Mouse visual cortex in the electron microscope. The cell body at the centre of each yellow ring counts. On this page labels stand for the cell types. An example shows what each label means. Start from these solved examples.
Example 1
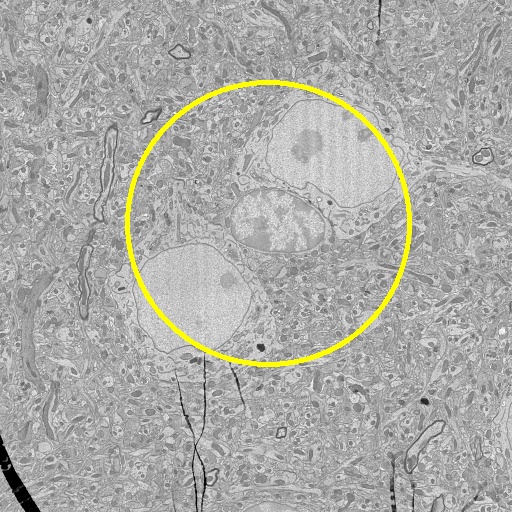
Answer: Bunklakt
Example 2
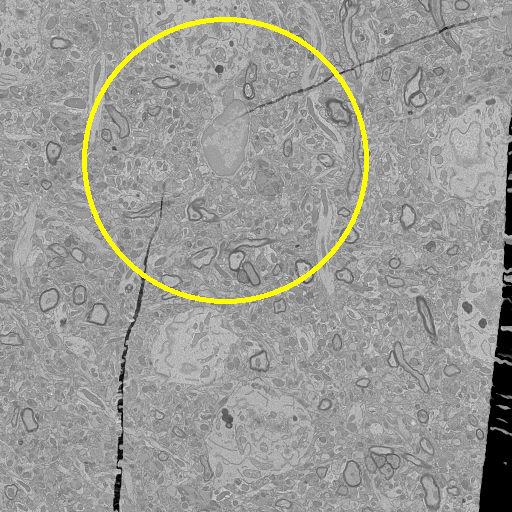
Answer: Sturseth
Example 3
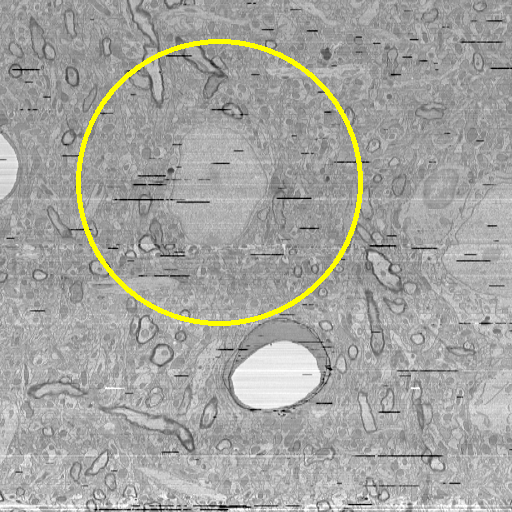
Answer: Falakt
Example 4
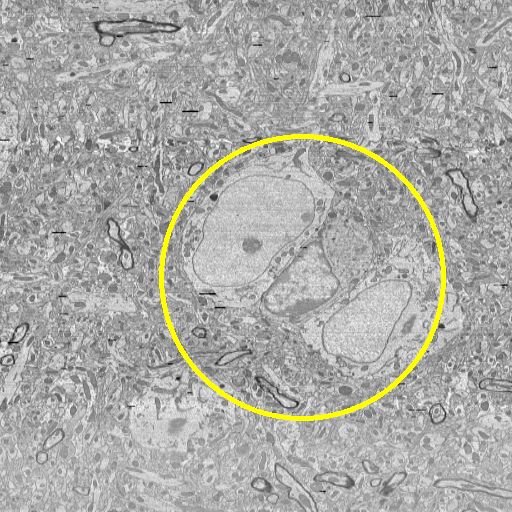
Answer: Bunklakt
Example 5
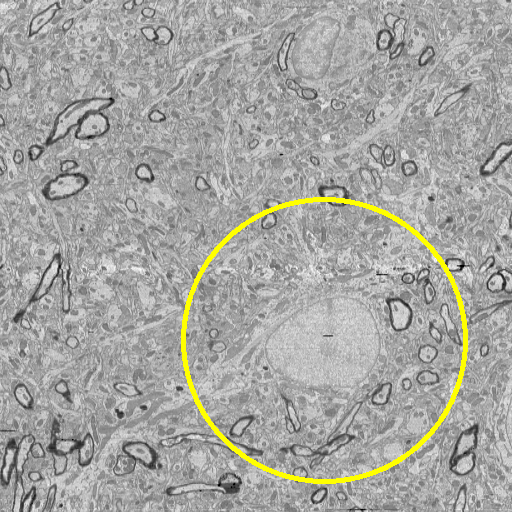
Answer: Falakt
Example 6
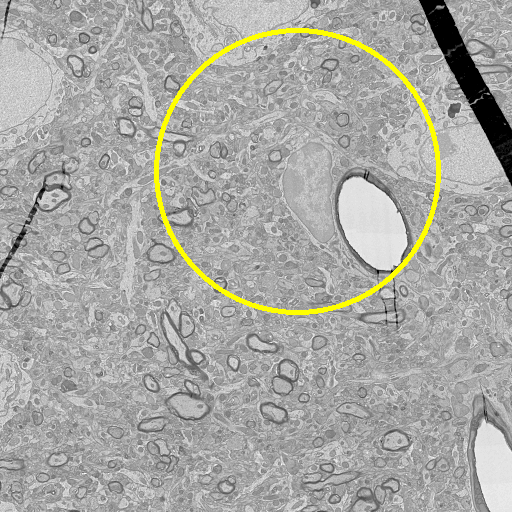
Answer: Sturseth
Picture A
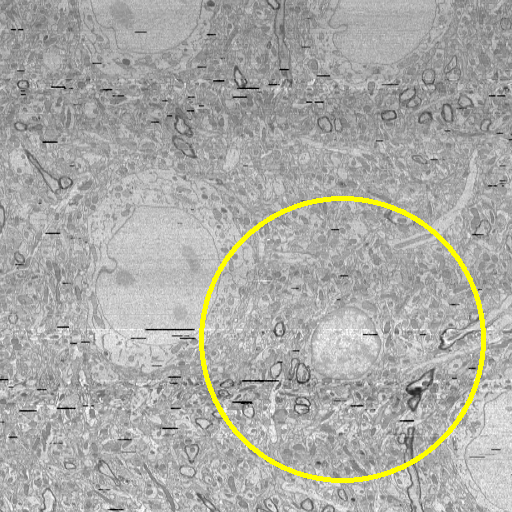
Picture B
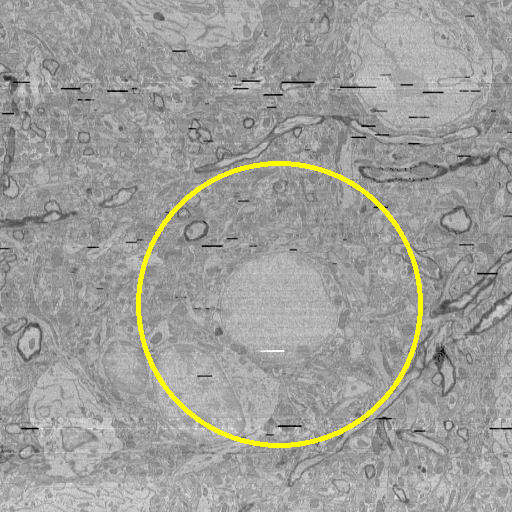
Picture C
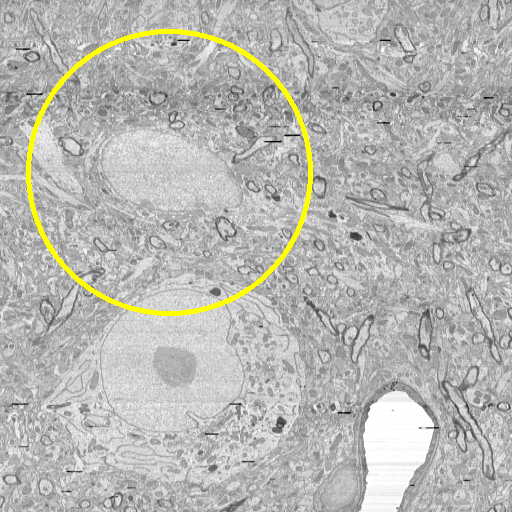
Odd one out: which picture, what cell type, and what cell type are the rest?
Picture A: Bunklakt. All others: Falakt.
